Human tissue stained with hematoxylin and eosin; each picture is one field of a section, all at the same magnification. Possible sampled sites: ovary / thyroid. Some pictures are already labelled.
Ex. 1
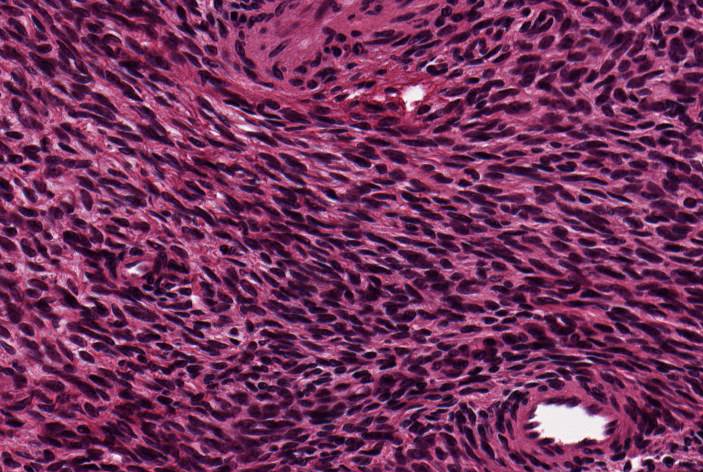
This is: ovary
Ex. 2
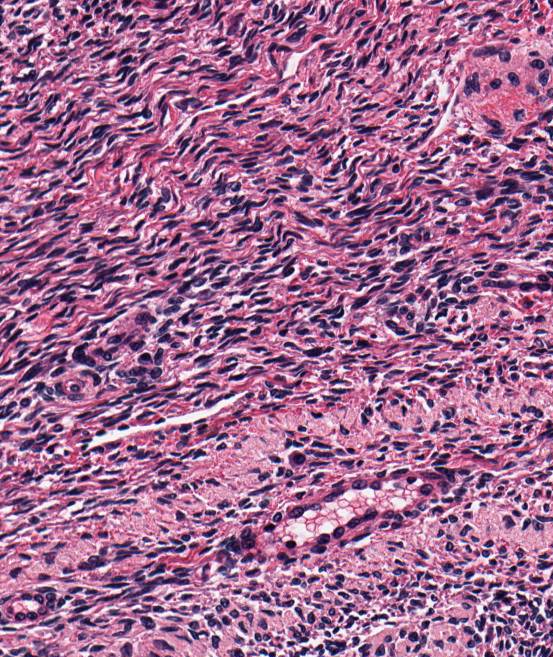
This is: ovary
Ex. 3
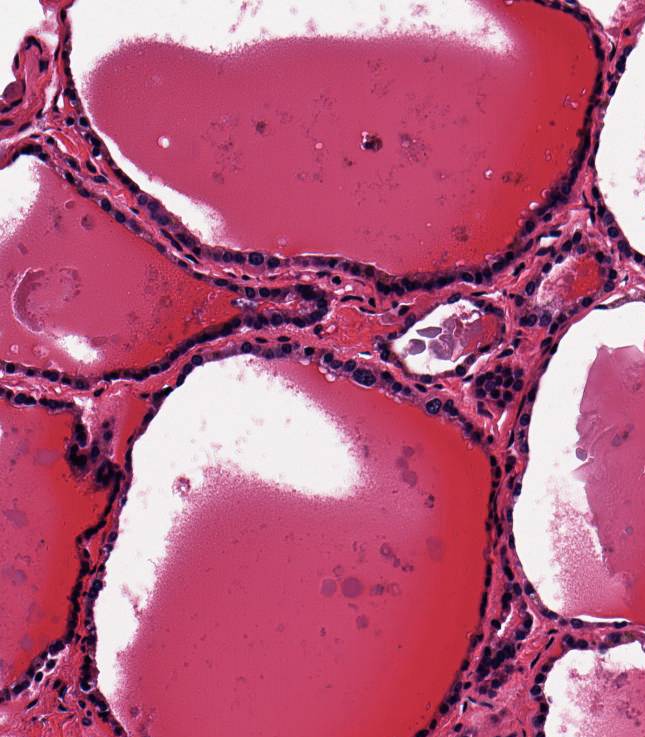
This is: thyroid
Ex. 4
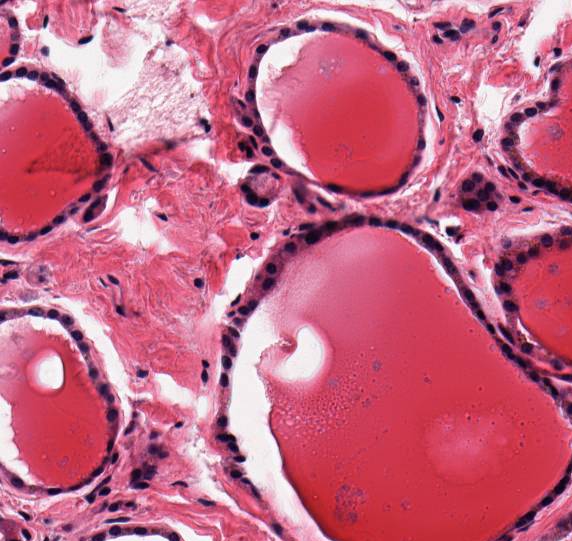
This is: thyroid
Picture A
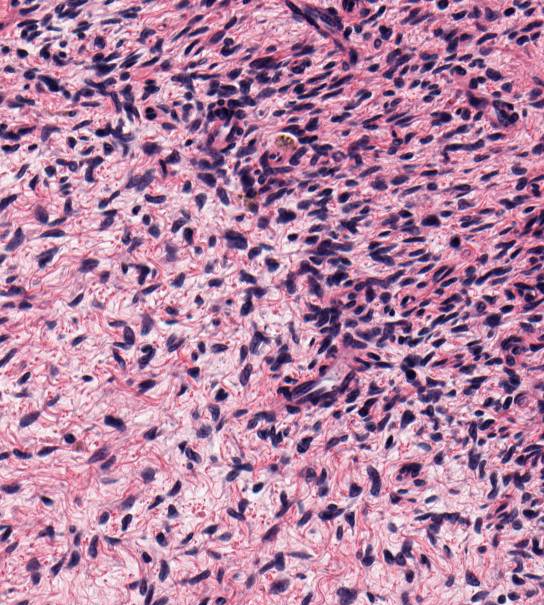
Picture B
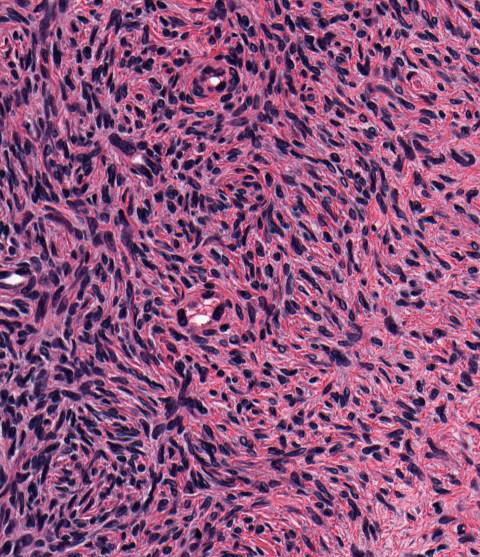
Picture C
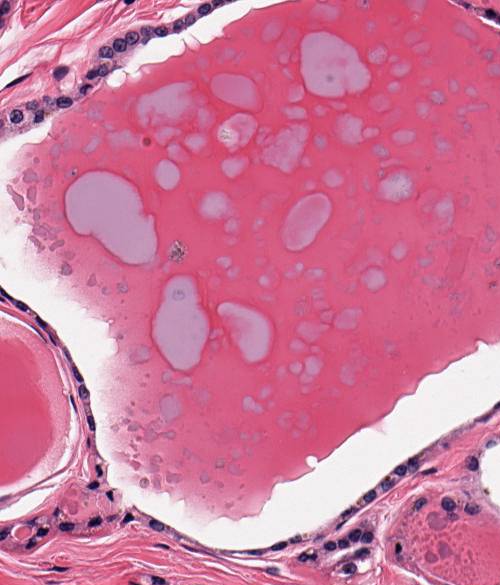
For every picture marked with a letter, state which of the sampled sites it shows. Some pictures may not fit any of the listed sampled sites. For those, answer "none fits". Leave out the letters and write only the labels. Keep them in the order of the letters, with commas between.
ovary, ovary, thyroid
